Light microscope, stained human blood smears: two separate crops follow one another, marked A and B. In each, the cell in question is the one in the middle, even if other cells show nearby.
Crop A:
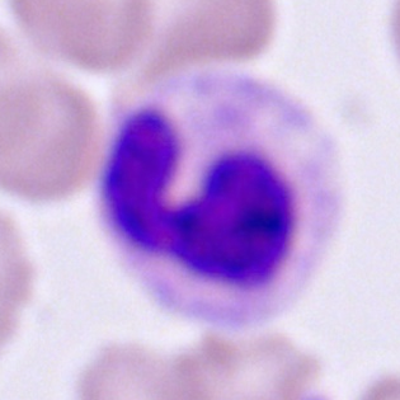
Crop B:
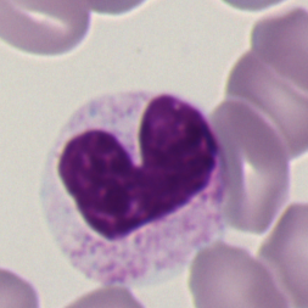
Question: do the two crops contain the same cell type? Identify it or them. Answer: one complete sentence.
Yes, the two cells in the two crops are band neutrophils.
